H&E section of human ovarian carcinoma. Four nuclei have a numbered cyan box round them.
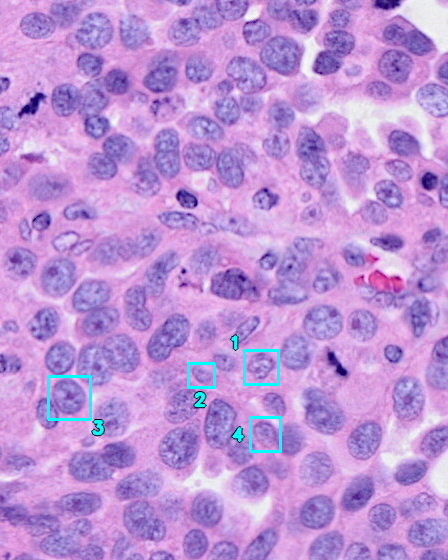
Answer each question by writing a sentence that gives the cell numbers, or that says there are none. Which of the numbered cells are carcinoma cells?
The cells labelled 3 and 4 in this section are carcinoma cells.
